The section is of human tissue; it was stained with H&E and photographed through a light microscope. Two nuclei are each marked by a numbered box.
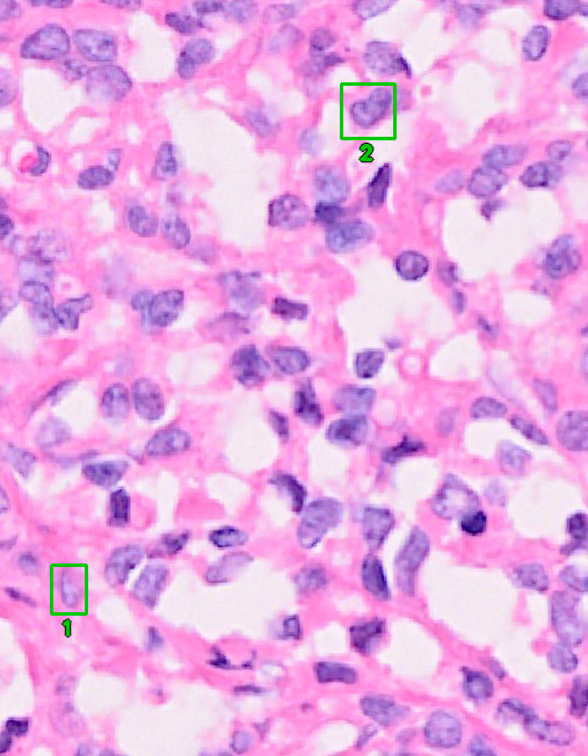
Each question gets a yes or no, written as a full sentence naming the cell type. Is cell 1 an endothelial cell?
Yes, the cell bearing the number 1 is an endothelial cell.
